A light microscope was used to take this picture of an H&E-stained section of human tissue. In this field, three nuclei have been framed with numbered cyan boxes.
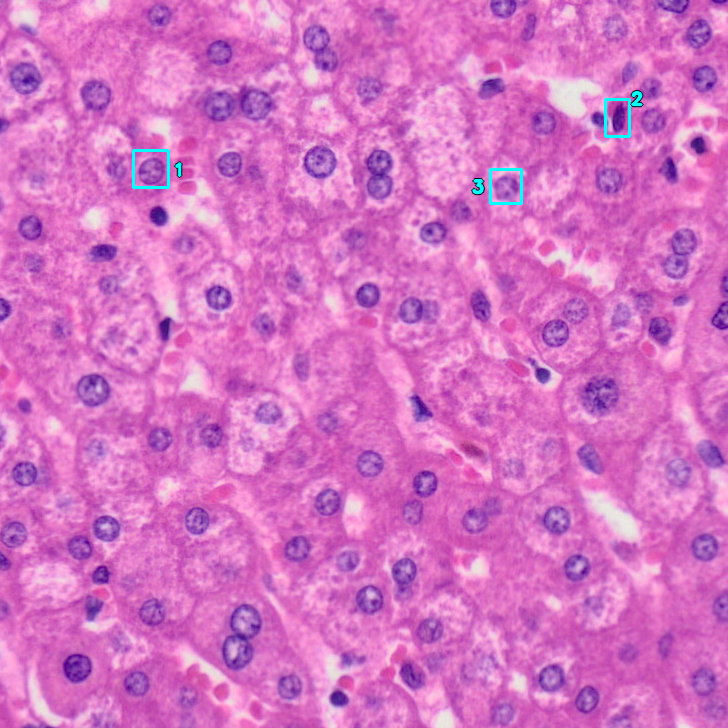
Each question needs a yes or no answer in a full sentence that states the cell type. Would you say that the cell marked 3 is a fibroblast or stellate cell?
No, the cell given number 3 is a hepatocyte, as opposed to a fibroblast or stellate cell.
